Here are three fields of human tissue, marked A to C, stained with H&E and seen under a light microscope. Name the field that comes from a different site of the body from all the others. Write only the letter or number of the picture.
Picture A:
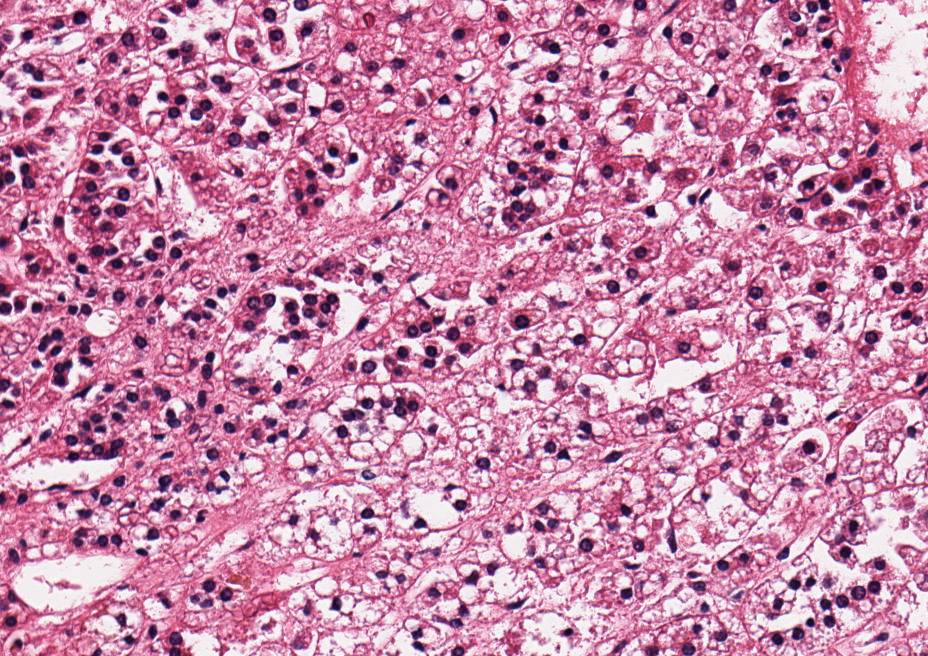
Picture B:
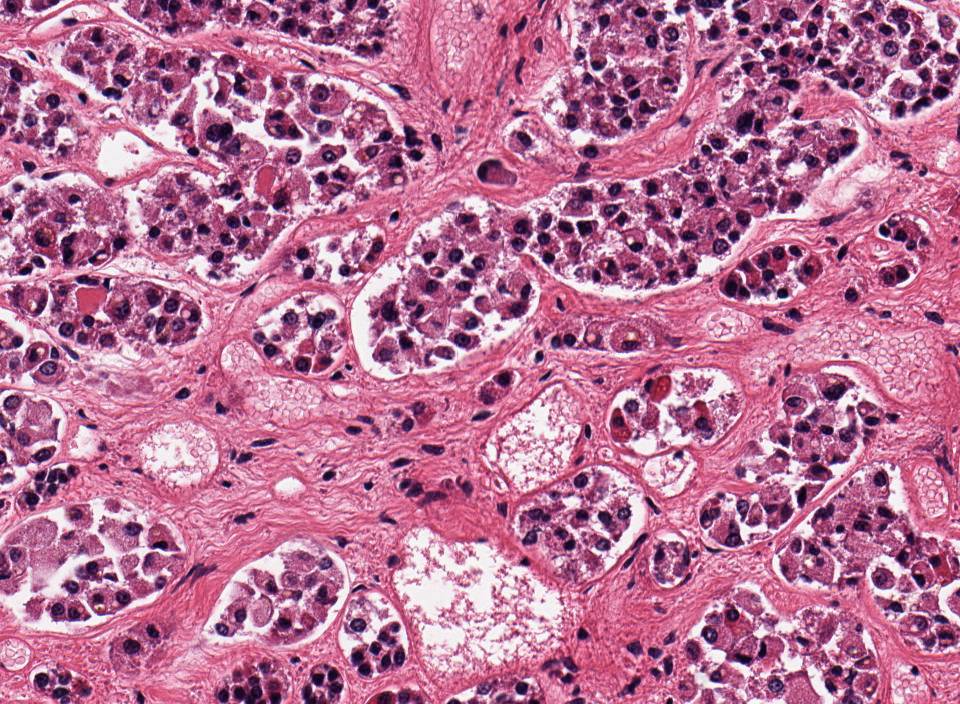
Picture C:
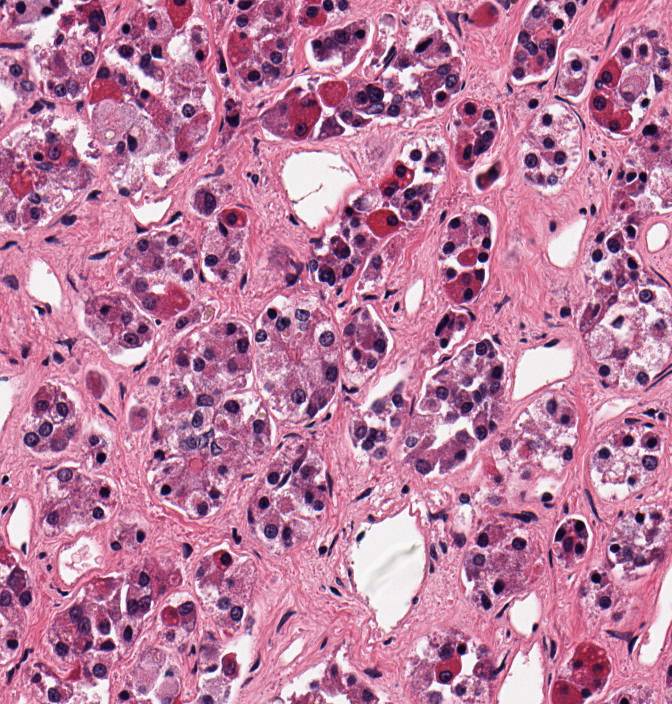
A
